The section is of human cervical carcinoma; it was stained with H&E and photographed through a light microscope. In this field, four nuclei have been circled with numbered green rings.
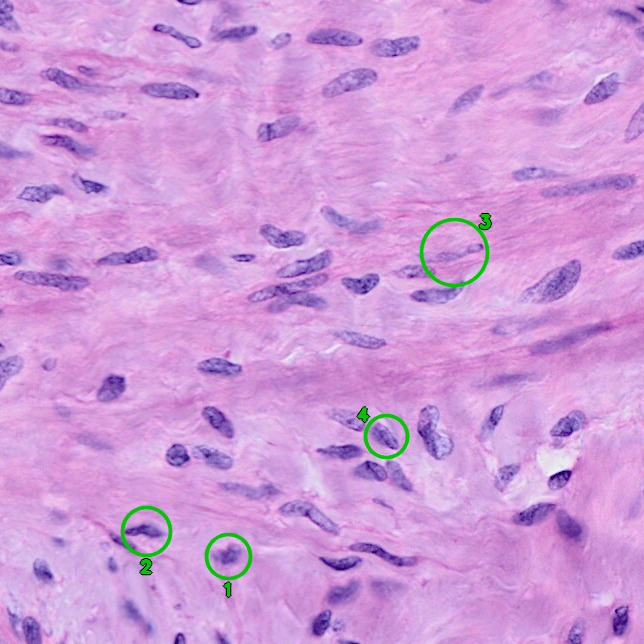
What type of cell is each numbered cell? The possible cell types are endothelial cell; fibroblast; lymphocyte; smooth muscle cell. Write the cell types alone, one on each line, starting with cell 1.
fibroblast
fibroblast
smooth muscle cell
fibroblast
